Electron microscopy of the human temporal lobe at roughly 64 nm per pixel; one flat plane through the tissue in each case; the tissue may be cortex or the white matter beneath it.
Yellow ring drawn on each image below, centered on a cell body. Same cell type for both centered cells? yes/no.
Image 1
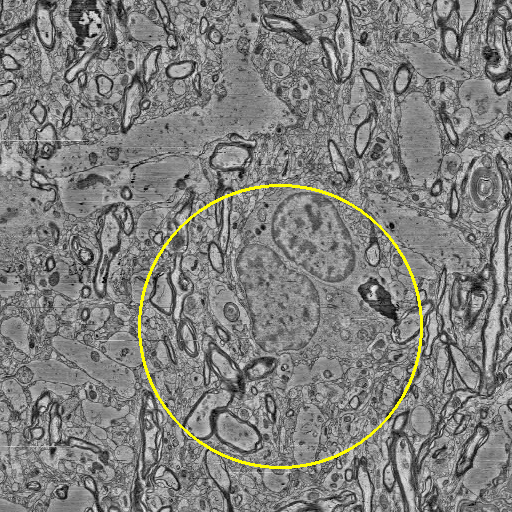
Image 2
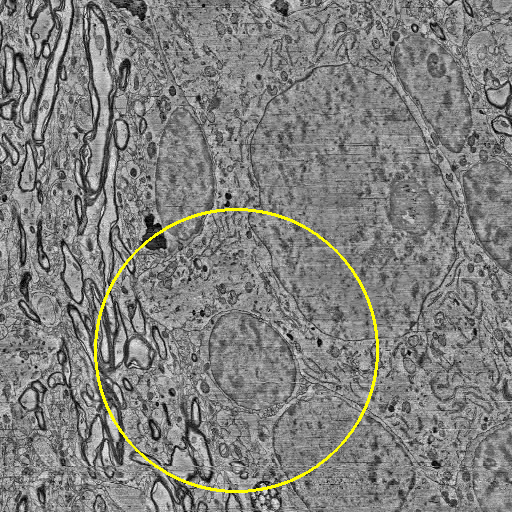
yes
